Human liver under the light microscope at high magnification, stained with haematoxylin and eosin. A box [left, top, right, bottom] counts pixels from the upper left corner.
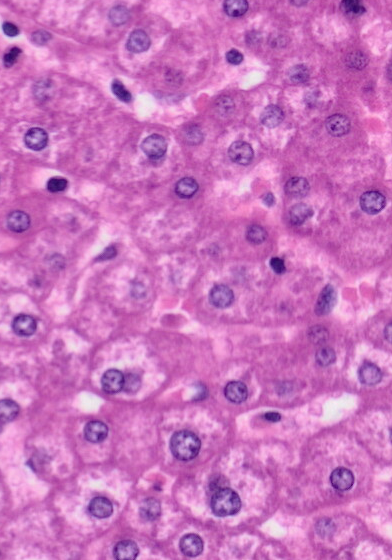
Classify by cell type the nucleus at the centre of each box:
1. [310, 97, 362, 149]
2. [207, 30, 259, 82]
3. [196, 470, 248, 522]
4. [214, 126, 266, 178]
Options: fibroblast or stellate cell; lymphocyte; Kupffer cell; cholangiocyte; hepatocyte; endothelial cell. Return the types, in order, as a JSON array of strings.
["hepatocyte", "lymphocyte", "hepatocyte", "hepatocyte"]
